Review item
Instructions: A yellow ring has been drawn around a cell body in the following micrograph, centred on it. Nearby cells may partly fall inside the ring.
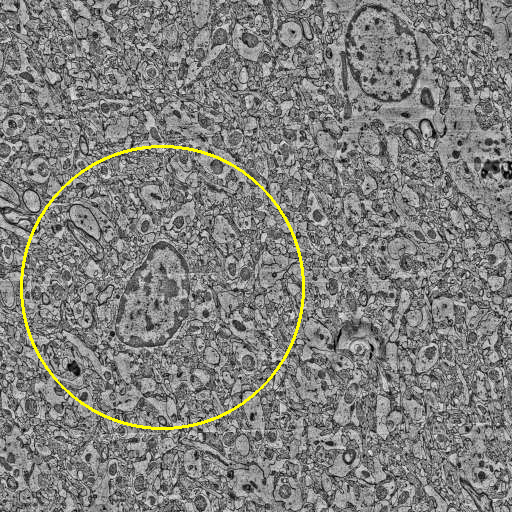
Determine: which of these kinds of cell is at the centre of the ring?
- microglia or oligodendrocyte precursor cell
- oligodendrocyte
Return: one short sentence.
The cell body in the middle of the ring is that of a microglial cell or oligodendrocyte precursor cell.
